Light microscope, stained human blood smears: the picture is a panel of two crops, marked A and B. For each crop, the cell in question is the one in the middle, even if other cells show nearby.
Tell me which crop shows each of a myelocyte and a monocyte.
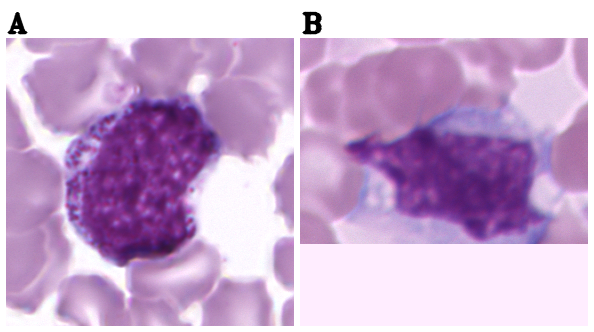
A: myelocyte
B: monocyte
